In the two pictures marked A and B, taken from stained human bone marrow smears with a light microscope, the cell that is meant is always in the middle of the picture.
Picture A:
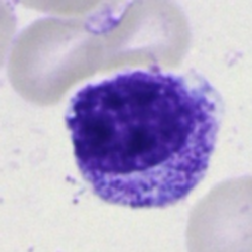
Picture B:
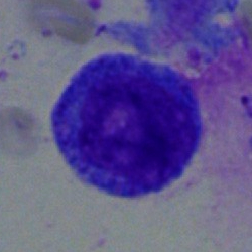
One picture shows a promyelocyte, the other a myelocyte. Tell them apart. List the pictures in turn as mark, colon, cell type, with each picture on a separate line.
A: myelocyte
B: promyelocyte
